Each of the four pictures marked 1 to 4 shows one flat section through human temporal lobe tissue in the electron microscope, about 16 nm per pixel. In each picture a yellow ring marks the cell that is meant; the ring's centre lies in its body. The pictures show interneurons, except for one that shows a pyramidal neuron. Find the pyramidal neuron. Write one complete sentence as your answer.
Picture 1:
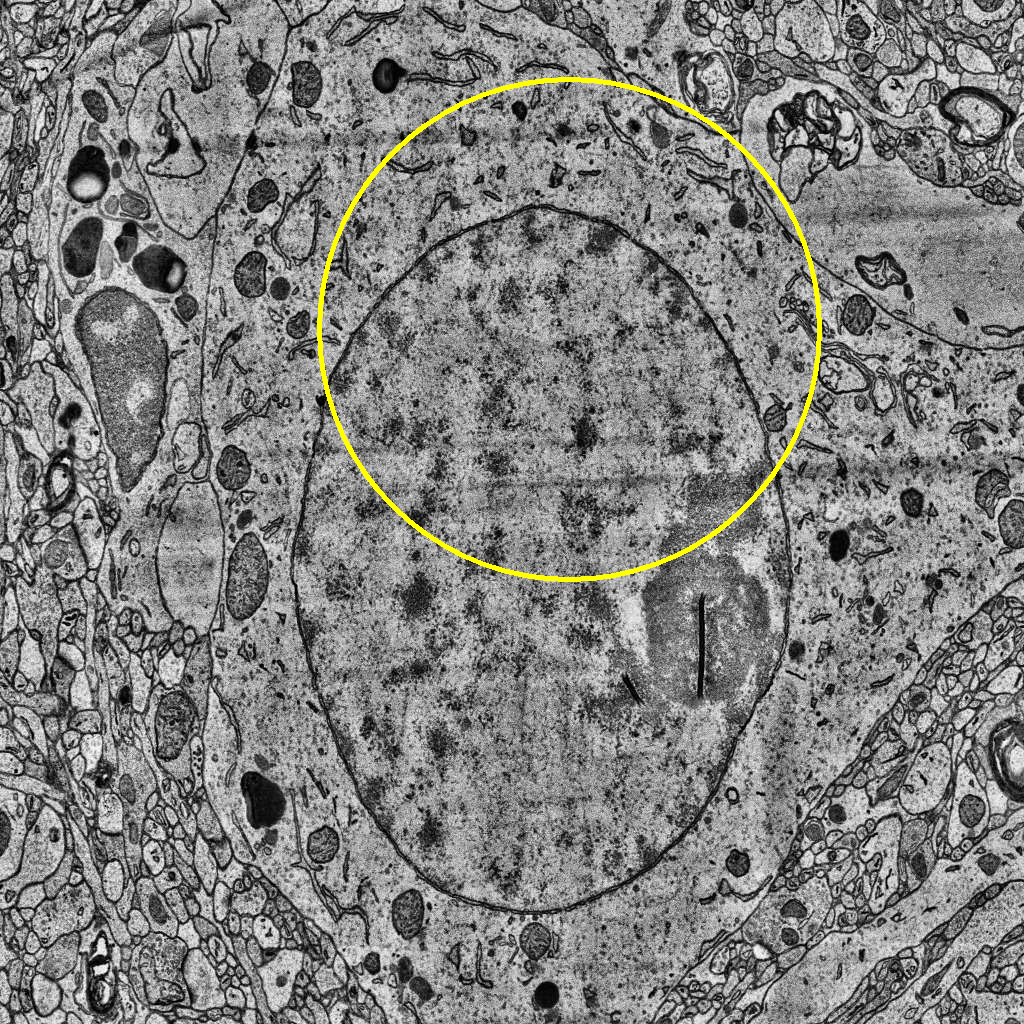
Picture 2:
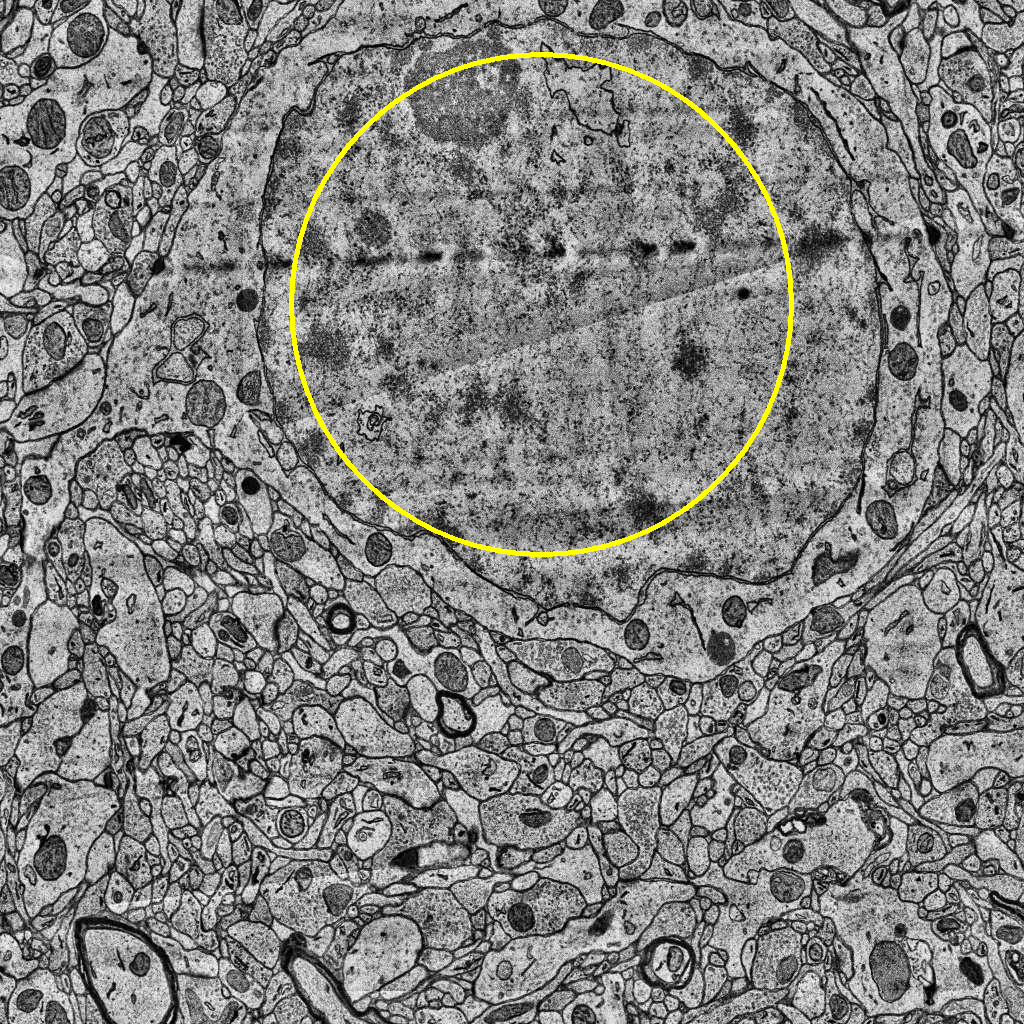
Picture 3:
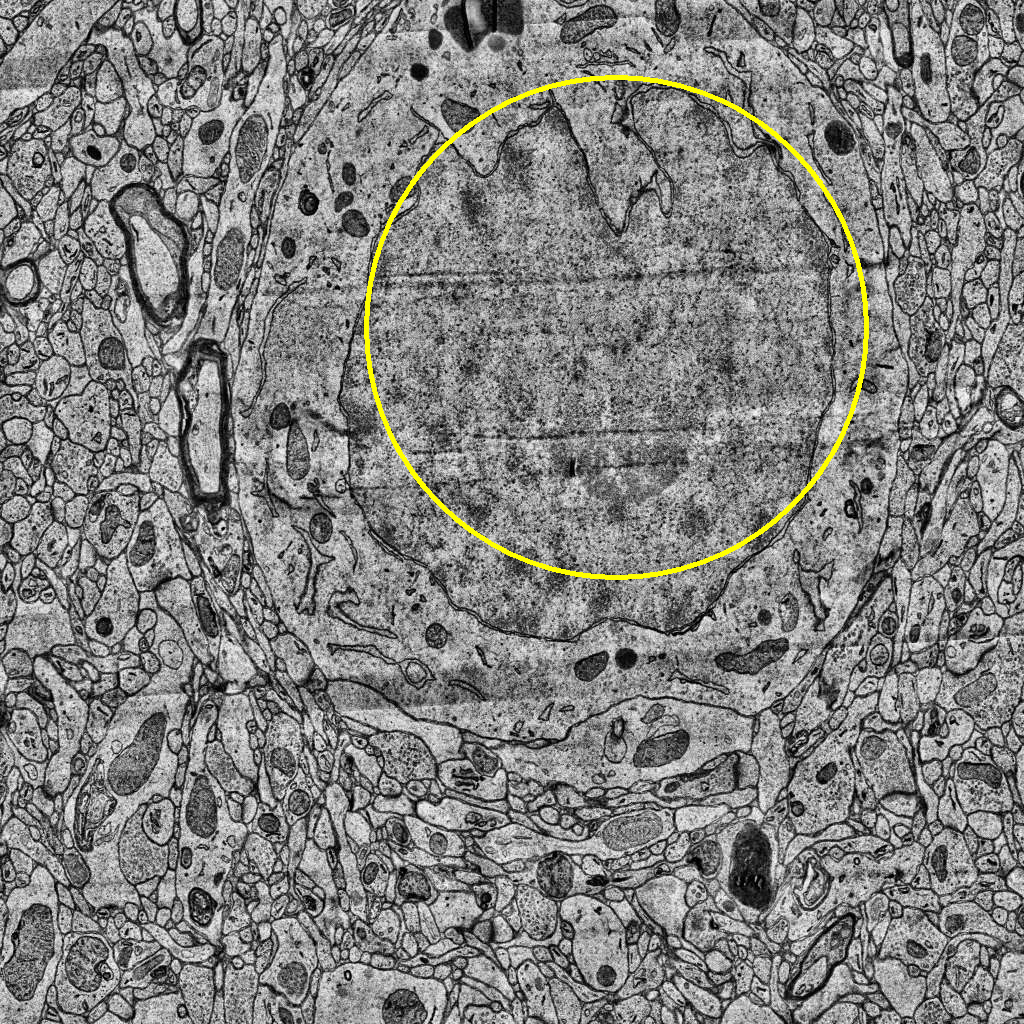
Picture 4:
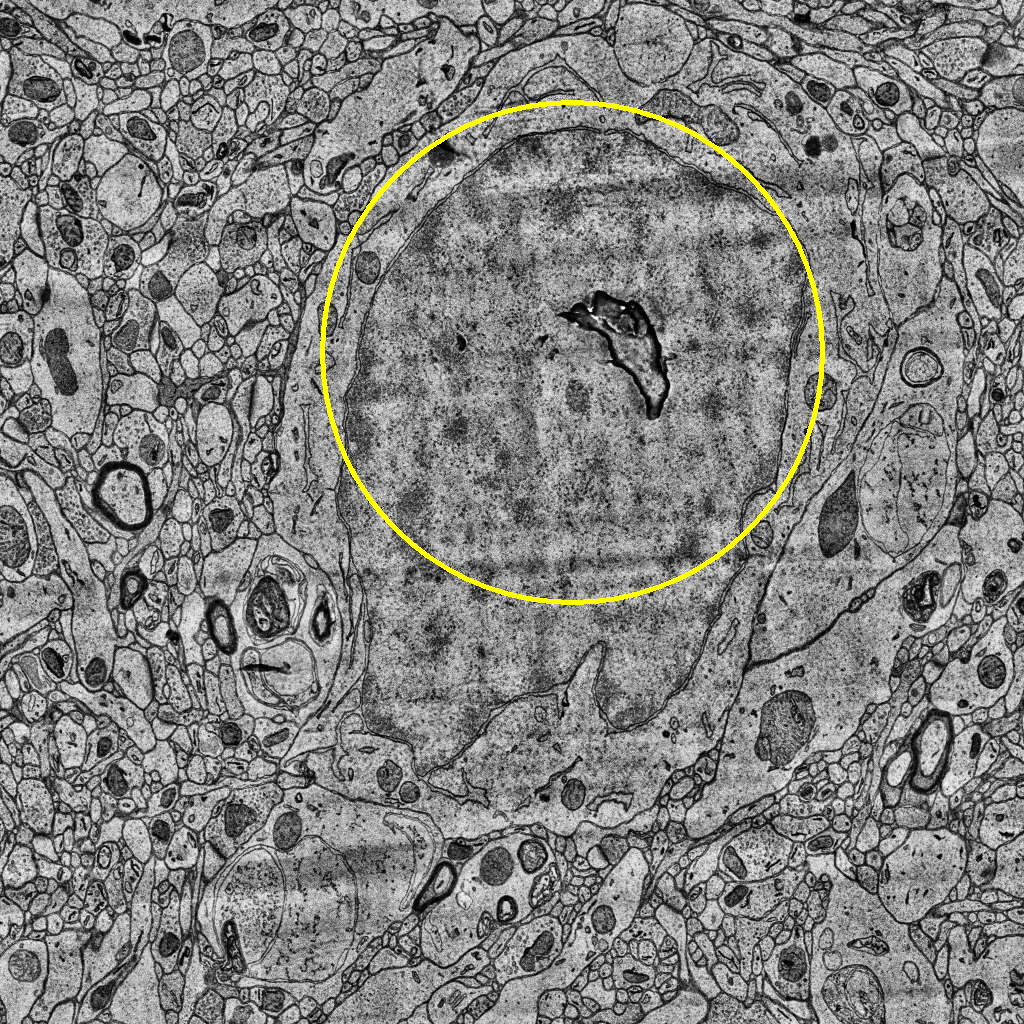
The picture with the pyramidal neuron is 1.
